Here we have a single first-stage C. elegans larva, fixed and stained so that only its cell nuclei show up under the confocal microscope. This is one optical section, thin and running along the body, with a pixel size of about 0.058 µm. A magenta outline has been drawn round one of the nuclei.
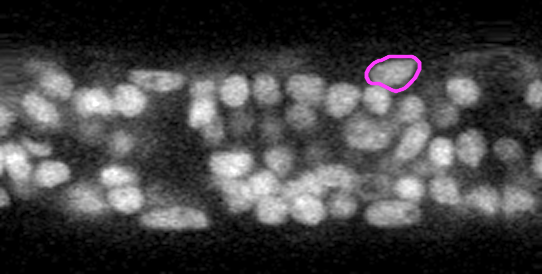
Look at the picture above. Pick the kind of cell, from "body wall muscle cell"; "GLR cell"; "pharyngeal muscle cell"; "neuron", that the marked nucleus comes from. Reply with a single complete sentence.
This nucleus is from a body wall muscle cell.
